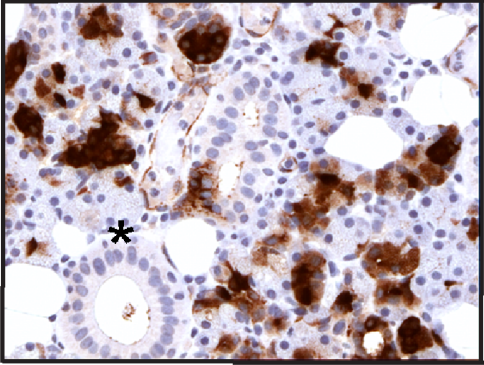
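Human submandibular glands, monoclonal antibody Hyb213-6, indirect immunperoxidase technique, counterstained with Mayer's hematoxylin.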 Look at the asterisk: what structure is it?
Striated ducts.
